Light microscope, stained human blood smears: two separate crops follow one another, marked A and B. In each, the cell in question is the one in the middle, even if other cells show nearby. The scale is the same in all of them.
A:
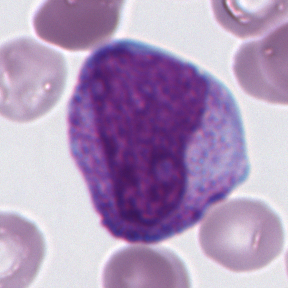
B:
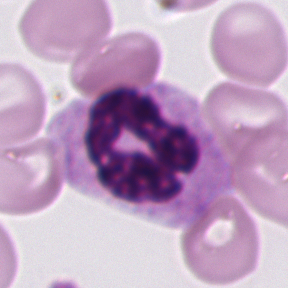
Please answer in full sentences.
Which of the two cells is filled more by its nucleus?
In crop A the nucleus takes up the larger part of its cell.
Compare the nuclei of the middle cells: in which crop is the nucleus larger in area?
It is the nucleus in crop A, about 2 times as large in area as the one in crop B.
